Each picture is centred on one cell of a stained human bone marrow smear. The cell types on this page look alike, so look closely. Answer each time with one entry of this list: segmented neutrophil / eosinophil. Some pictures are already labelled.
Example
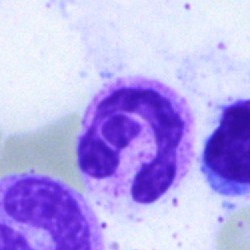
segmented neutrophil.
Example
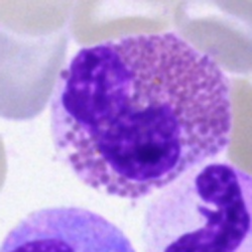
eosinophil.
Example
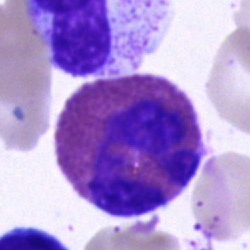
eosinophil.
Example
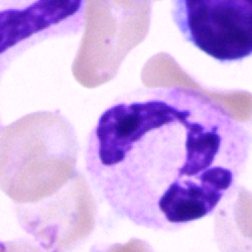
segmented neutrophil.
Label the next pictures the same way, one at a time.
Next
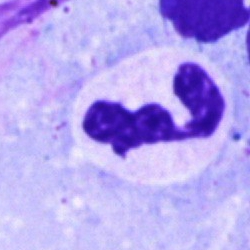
segmented neutrophil.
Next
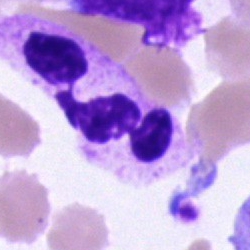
segmented neutrophil.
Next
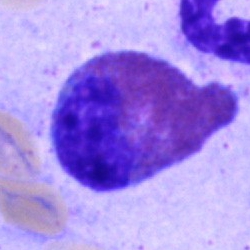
eosinophil.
